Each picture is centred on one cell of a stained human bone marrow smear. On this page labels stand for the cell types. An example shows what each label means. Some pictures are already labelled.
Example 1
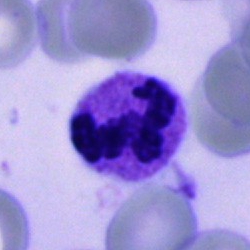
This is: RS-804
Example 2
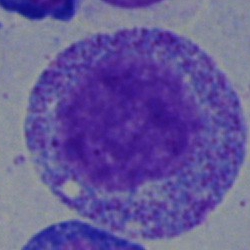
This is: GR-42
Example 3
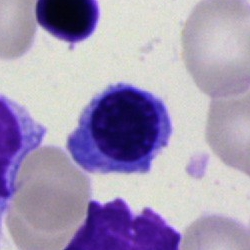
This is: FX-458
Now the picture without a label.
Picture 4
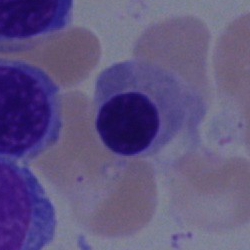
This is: FX-458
